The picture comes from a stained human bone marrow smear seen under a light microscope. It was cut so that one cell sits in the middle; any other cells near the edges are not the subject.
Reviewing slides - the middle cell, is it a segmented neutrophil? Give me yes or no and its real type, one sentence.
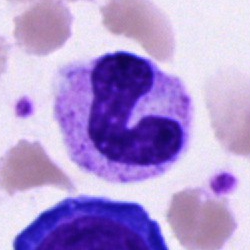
No, sorry, the middle cell is a band neutrophil rather than a segmented neutrophil.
